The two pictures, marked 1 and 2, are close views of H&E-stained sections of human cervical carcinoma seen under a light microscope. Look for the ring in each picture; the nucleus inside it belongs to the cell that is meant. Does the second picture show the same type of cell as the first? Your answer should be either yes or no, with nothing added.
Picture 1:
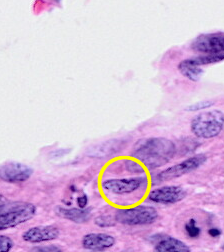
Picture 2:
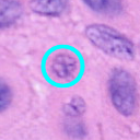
yes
